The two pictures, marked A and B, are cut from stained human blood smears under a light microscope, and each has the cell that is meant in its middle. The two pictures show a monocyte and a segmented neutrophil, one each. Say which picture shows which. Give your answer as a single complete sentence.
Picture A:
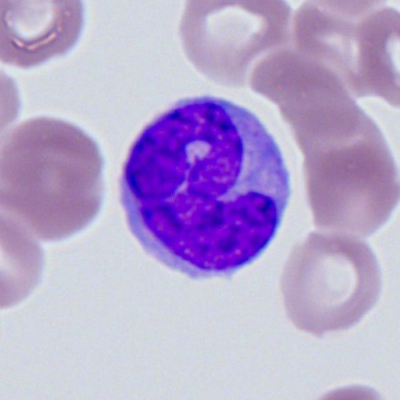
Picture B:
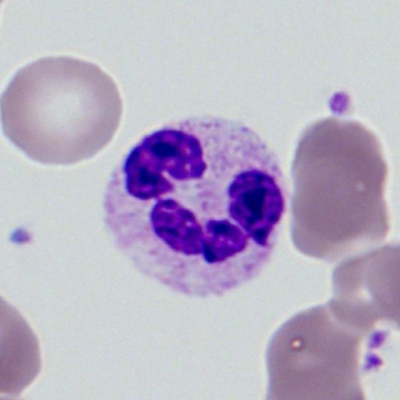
It is picture A that shows a monocyte, and picture B that shows a segmented neutrophil.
